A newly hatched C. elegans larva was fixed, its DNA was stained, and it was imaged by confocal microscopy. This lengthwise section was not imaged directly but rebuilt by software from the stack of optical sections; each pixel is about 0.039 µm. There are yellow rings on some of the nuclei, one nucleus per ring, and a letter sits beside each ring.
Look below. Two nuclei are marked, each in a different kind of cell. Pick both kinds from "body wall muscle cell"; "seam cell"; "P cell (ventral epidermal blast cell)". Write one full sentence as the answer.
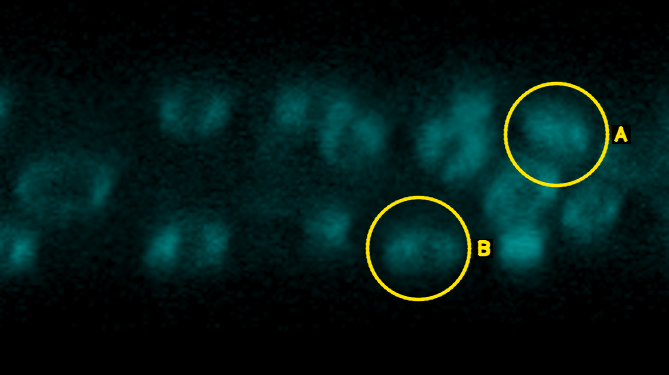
A belongs to a body wall muscle cell and B to a P cell (ventral epidermal blast cell).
